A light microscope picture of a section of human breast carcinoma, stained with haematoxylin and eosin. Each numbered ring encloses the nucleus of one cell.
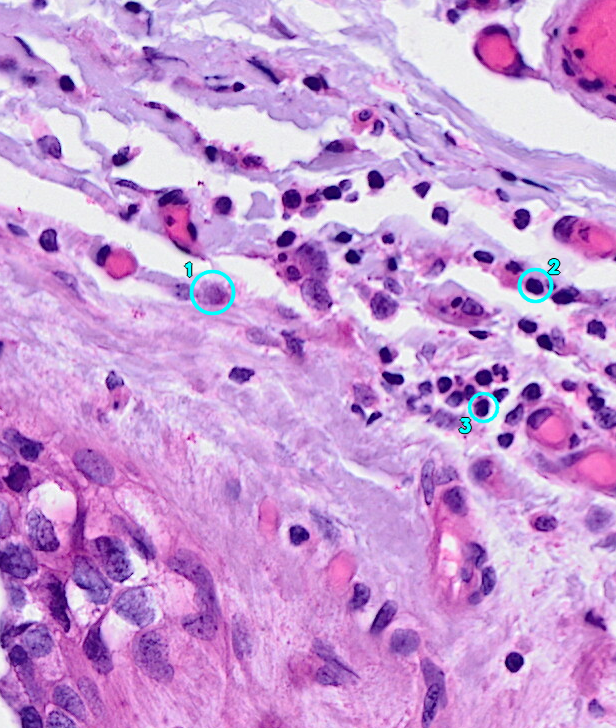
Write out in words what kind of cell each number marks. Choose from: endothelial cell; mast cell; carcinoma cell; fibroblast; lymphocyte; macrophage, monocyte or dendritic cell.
Cell 1 is a fibroblast. Cells 2 and 3 are lymphocytes.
